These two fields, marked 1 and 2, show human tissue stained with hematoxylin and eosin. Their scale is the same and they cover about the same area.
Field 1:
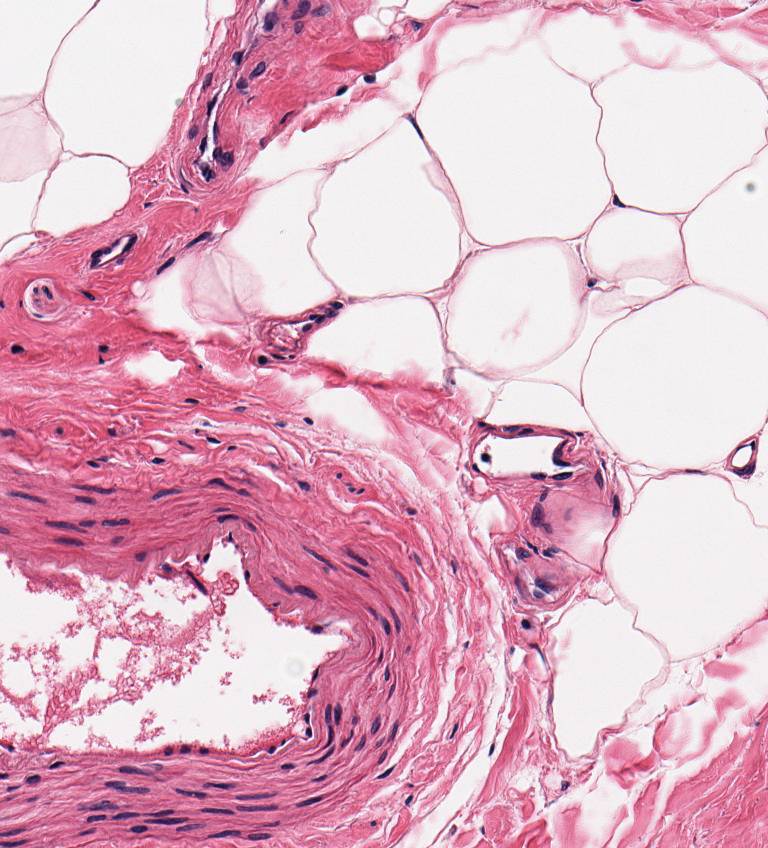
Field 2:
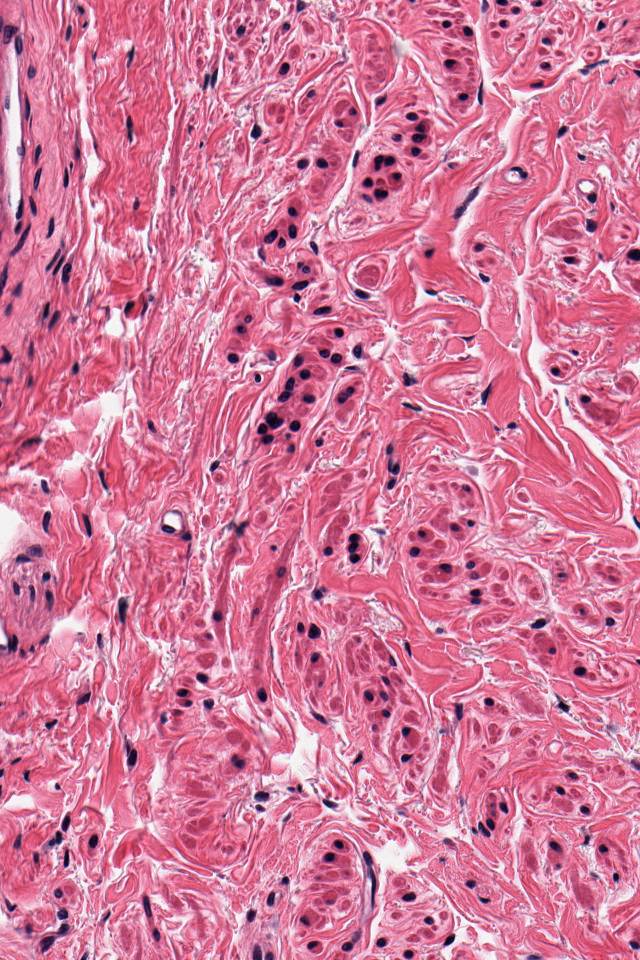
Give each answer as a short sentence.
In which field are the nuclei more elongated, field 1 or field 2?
Longer, more slender nuclei lie in field 1.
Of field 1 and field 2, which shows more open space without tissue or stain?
Field 1 has more white space.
